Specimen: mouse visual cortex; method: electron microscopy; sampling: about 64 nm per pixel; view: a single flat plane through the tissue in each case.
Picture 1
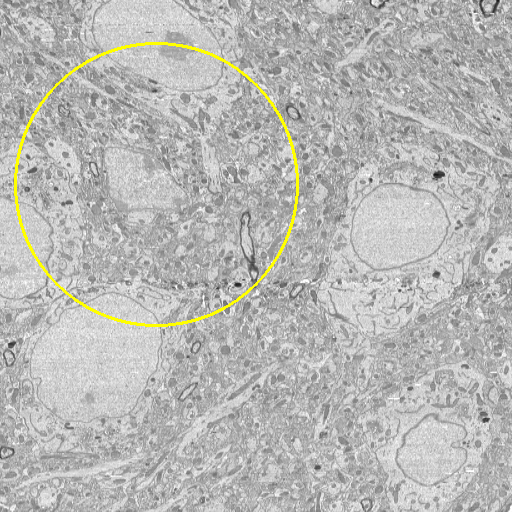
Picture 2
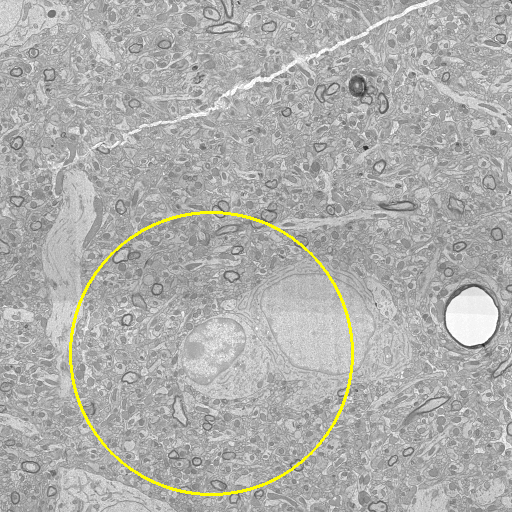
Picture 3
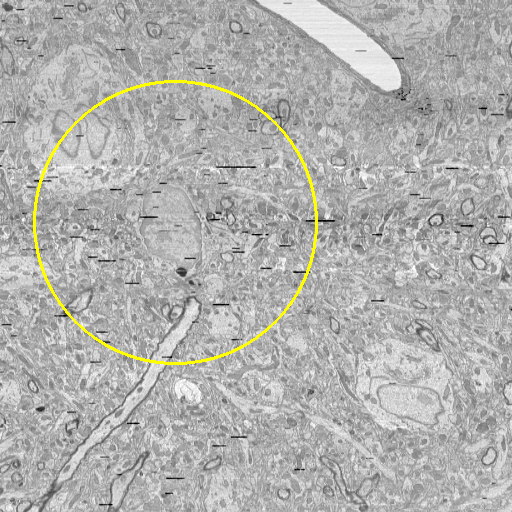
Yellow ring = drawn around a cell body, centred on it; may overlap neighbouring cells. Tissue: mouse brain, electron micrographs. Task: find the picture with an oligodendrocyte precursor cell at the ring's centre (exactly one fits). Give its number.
1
